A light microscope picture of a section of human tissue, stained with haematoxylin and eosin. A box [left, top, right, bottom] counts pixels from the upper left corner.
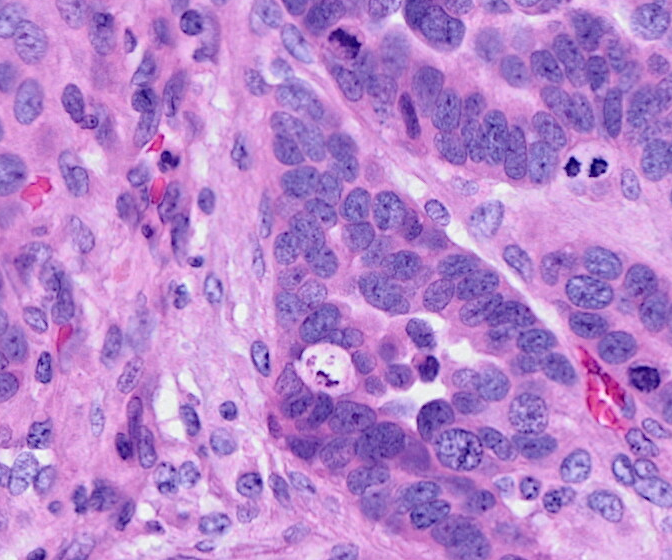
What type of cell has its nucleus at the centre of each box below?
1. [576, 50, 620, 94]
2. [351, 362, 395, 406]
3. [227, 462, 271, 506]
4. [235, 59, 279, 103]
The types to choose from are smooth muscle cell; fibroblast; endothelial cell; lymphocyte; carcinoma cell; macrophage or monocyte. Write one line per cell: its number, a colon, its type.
1: carcinoma cell
2: carcinoma cell
3: macrophage or monocyte
4: fibroblast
